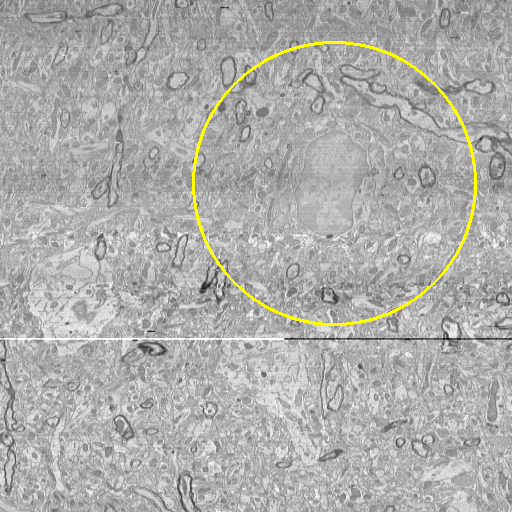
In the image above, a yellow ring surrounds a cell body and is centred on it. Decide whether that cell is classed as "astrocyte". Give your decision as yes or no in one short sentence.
No, it belongs to another kind of cell.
